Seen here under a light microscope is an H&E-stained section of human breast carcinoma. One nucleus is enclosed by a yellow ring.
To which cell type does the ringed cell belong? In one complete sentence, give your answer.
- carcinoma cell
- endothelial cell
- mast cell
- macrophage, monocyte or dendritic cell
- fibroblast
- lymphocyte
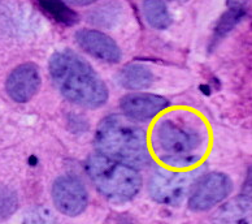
As classified here, the ringed cell is a carcinoma cell.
